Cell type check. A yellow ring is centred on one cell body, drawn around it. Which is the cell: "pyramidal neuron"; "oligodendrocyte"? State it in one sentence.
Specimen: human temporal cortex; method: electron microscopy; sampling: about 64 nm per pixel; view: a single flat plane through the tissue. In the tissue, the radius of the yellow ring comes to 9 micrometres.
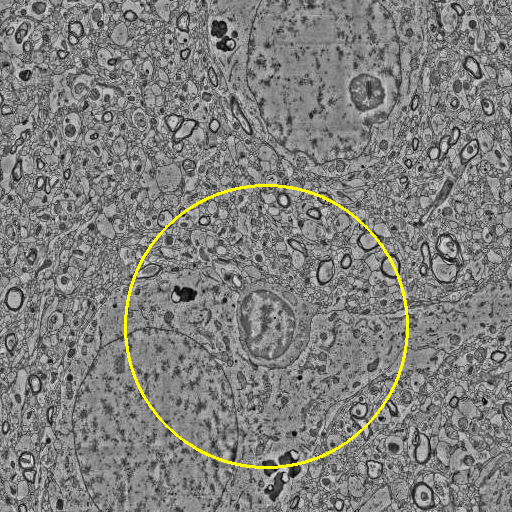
The cell body at the ring's centre belongs to an oligodendrocyte.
